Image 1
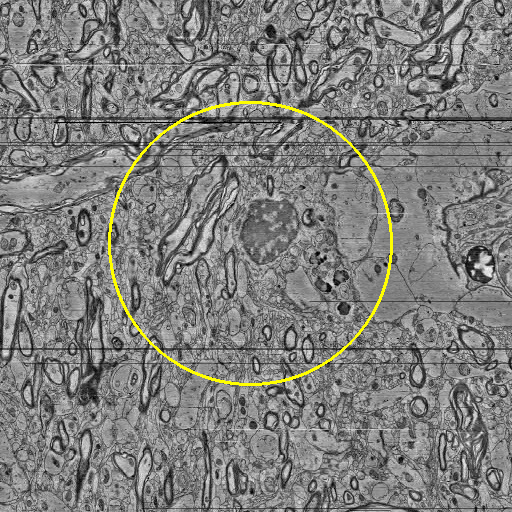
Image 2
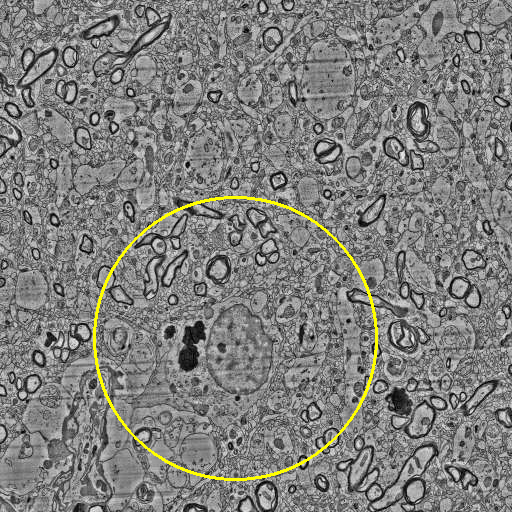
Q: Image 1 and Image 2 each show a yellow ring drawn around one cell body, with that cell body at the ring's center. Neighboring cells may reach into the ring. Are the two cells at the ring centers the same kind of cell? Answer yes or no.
no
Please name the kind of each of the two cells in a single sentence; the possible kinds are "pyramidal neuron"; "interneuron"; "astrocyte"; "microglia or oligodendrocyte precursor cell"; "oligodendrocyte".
In the first picture the ring is centred on a microglial cell or oligodendrocyte precursor cell, and in the second on an oligodendrocyte.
